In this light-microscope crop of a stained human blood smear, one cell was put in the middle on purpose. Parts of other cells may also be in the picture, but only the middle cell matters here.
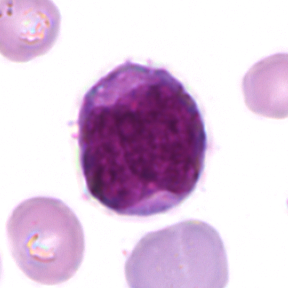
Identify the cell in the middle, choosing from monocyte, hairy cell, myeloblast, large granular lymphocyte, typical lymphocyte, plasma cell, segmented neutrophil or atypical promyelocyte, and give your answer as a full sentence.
Whatever else lies nearby, the middle cell is an atypical promyelocyte.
